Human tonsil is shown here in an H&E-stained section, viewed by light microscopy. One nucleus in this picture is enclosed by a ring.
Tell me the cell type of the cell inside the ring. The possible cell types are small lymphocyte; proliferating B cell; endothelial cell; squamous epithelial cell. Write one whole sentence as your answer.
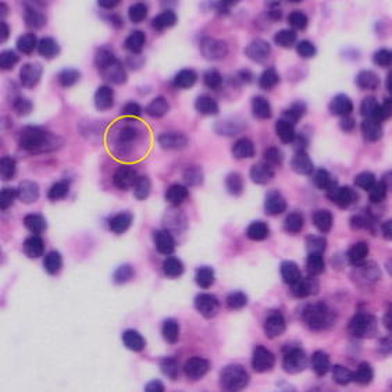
Just put down that the cell inside the ring is an endothelial cell.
